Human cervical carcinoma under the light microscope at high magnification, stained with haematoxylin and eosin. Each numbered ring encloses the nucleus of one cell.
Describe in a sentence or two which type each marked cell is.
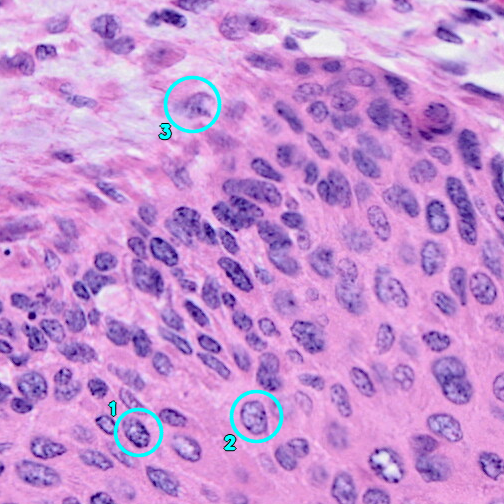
Cell 1 is a squamous carcinoma cell, cell 2 is a squamous carcinoma cell and cell 3 is a fibroblast.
